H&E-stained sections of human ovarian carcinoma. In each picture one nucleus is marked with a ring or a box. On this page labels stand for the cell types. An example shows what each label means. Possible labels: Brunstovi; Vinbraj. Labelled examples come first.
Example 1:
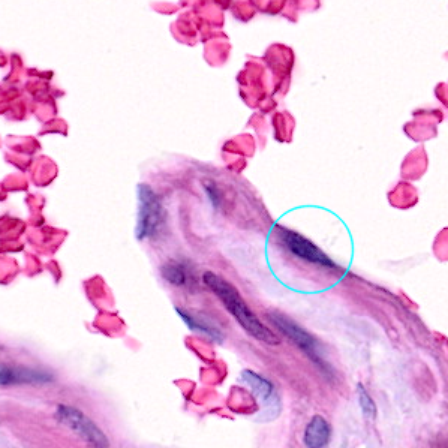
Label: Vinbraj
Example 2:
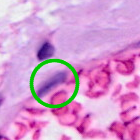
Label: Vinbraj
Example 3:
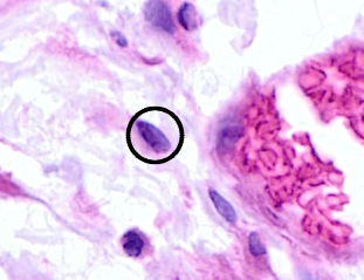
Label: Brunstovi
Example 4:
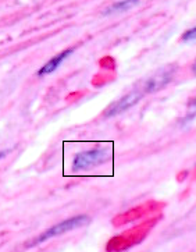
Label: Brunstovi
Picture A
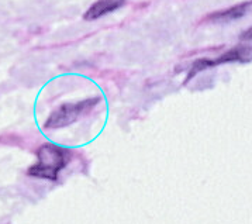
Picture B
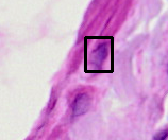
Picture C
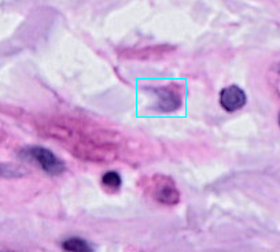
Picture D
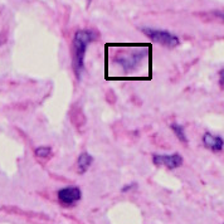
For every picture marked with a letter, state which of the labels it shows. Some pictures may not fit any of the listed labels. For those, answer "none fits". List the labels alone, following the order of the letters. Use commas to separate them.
Brunstovi, none fits, Brunstovi, Brunstovi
